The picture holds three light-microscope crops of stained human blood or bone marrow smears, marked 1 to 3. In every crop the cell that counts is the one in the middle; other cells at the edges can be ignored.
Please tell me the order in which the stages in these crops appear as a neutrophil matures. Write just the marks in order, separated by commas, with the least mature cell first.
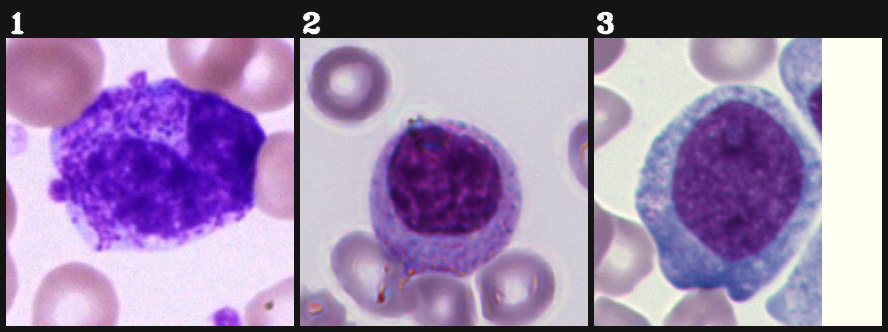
3, 2, 1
